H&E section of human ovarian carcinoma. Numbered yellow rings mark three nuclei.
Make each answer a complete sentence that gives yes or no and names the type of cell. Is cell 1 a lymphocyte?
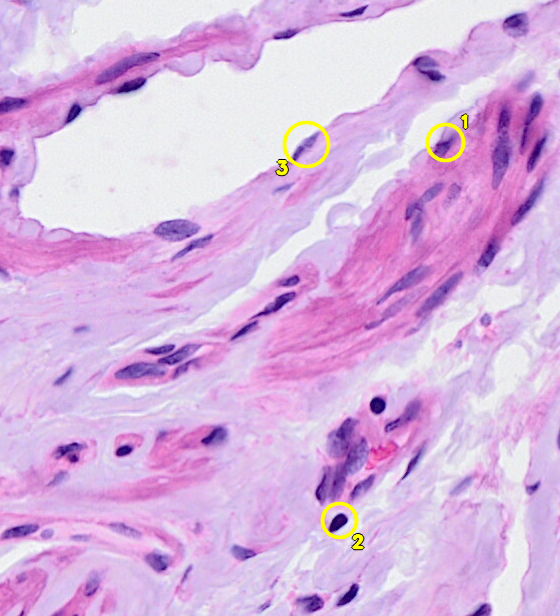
No, the cell with the number 1 is a smooth muscle cell, not a lymphocyte.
